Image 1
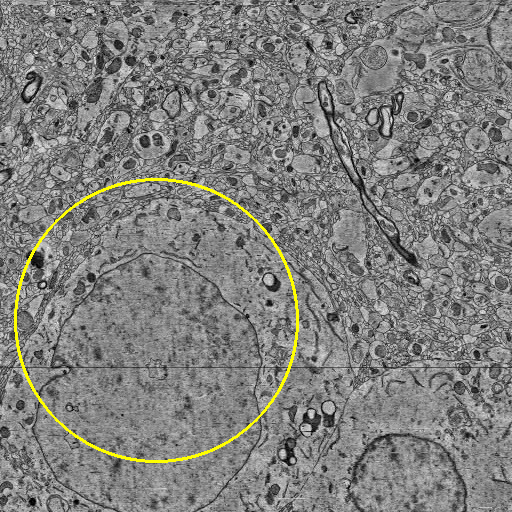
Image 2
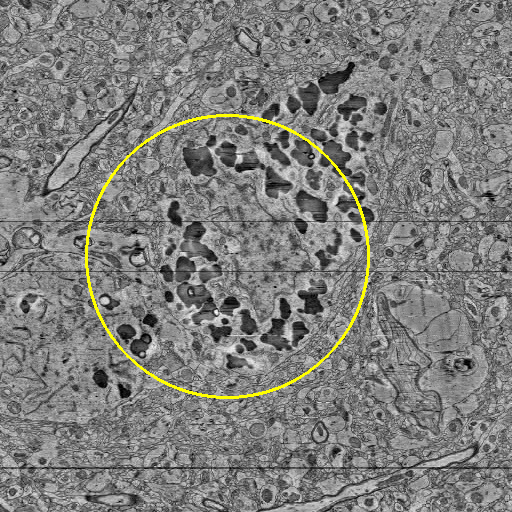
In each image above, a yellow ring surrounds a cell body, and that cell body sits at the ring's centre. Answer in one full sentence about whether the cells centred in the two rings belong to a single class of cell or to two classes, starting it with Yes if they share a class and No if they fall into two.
No, the cells centred in the two yellow rings belong to two classes of cell.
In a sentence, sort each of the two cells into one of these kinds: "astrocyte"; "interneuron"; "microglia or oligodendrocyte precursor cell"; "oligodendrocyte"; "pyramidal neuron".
The first of the two cells is a pyramidal neuron, and the second is an interneuron.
